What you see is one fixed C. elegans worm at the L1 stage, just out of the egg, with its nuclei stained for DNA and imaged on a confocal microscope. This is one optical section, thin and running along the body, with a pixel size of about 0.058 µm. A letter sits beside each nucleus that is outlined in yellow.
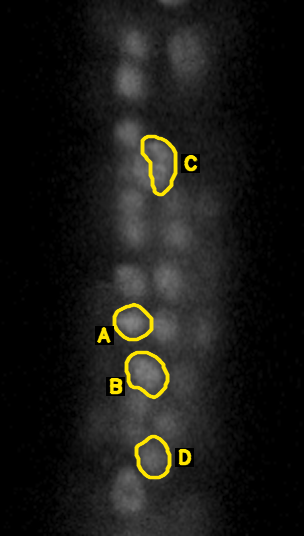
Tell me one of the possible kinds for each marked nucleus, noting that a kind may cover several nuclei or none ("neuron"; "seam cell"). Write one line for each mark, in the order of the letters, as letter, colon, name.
A: neuron
B: neuron
C: seam cell
D: neuron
